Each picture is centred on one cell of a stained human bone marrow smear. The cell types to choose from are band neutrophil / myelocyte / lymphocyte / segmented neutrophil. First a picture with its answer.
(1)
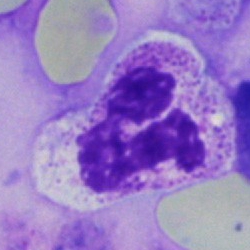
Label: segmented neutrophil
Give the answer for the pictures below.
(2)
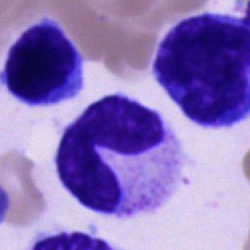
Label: band neutrophil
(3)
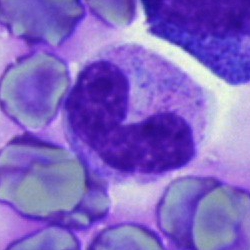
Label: band neutrophil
